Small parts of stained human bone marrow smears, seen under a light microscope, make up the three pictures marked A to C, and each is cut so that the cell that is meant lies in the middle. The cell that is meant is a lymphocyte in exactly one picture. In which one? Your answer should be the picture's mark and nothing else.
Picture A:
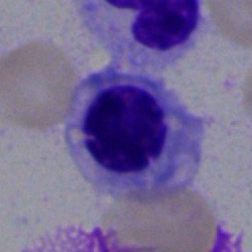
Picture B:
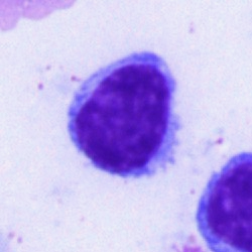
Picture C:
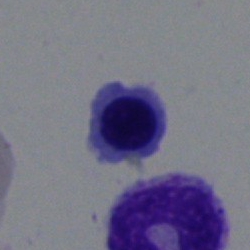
B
